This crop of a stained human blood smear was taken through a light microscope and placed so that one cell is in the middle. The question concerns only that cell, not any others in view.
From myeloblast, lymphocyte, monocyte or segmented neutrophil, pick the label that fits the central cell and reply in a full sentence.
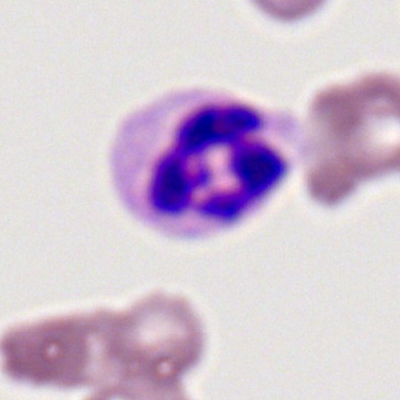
The center cell of this crop is a segmented neutrophil.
